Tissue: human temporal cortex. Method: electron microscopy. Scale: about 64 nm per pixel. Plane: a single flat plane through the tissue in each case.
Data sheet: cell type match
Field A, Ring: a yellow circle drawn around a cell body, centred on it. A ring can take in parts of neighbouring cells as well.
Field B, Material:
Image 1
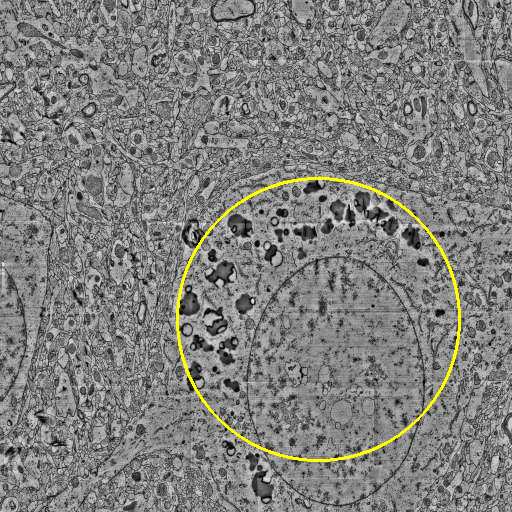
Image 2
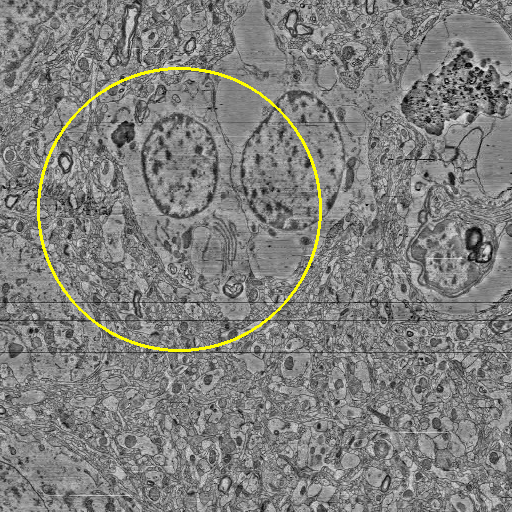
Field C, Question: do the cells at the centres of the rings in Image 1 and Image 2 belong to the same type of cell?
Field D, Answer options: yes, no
no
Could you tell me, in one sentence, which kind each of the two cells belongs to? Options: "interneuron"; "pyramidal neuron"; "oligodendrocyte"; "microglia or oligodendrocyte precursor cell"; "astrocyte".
At the centre of the first ring sits a pyramidal neuron, and at the centre of the second sits an astrocyte.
